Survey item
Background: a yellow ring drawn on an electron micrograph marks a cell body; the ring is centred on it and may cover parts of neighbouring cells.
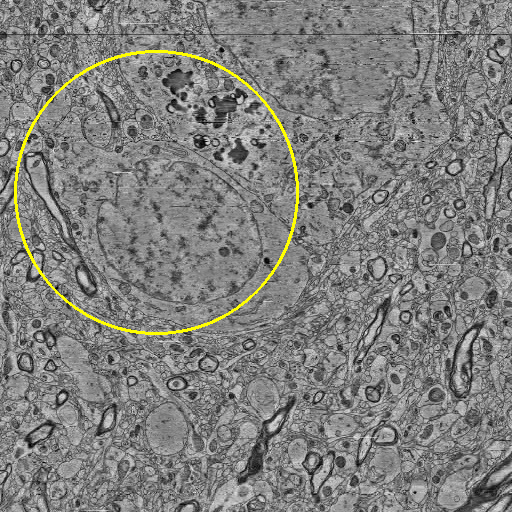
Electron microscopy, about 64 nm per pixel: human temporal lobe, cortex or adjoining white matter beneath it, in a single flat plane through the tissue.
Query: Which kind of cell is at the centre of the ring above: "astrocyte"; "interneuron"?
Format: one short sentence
The cell in the middle of the ring is an interneuron.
